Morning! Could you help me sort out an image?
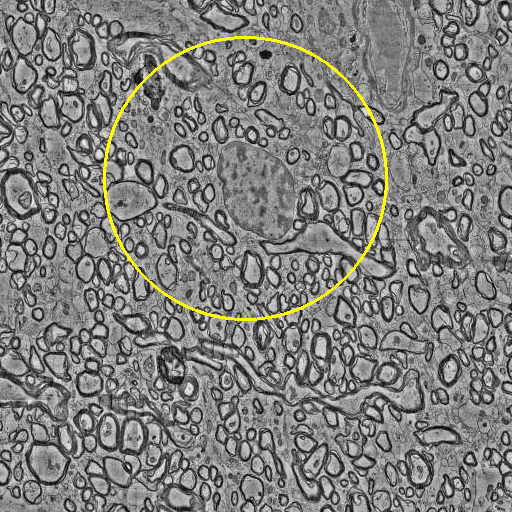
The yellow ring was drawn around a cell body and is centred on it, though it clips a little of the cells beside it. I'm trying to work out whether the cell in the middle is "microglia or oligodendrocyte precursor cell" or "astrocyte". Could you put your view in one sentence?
The ringed cell body is that of a microglial cell or oligodendrocyte precursor cell.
